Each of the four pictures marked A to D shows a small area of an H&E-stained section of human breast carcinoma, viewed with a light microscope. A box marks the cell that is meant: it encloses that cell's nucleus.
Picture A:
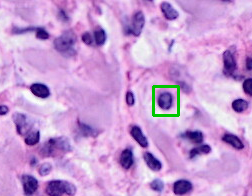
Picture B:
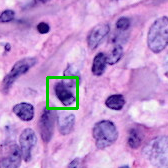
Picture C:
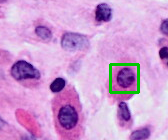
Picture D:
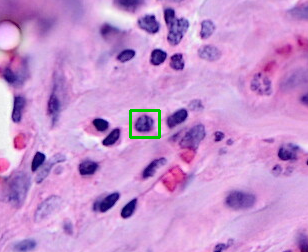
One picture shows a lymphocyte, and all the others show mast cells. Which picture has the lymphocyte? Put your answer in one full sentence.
Picture B is the one that shows the lymphocyte.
